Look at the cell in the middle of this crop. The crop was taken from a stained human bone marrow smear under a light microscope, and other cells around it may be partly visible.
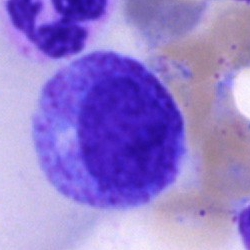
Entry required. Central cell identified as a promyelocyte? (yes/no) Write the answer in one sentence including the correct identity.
Yes, in this crop the cell in the middle is a promyelocyte.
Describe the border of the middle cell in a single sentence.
Worth noting that the cell border is smooth and lacks projections.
